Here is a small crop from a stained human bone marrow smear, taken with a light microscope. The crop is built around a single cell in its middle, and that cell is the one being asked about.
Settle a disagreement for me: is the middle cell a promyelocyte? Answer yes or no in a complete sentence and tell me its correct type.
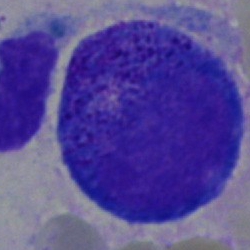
Yes, the cell centred in the field of view is a promyelocyte.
